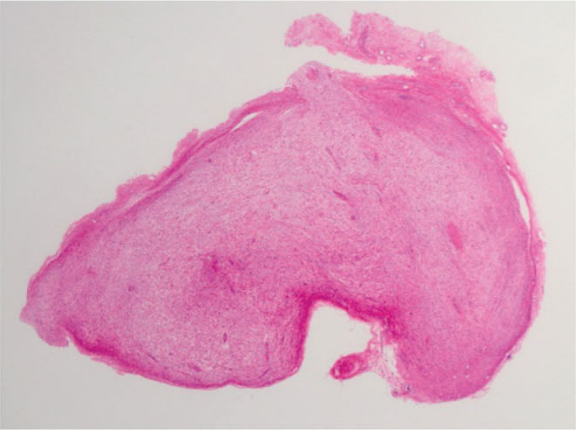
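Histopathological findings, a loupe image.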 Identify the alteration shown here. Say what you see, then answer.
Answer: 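A denser pink rim runs along much, but not all, of its border. The interior is paler and fibrillar.
Answer: incompletely encapsulated tumor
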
